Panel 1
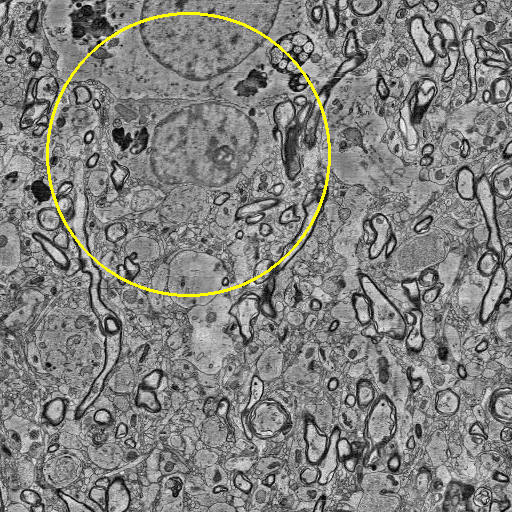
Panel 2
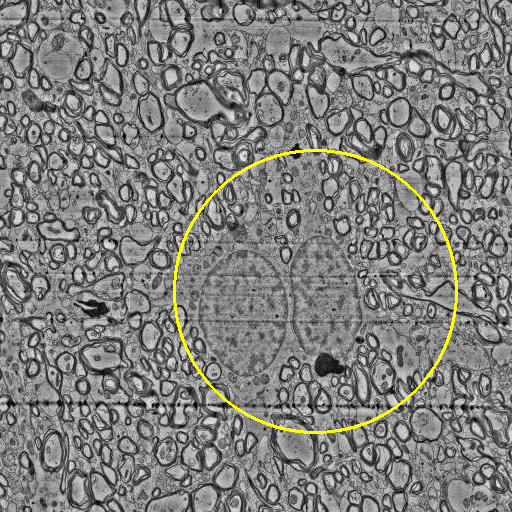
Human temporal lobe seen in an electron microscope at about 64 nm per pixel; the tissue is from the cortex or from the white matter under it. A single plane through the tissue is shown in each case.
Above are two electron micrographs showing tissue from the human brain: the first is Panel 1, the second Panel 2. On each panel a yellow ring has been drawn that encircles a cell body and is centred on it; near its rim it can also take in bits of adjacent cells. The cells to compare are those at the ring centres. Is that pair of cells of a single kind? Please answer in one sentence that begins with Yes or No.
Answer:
Yes, the ring-centred cells of Panel 1 and Panel 2 belong to one kind.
